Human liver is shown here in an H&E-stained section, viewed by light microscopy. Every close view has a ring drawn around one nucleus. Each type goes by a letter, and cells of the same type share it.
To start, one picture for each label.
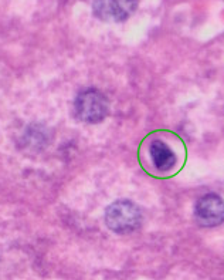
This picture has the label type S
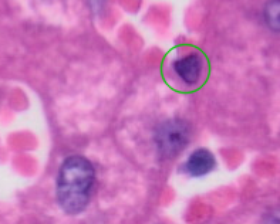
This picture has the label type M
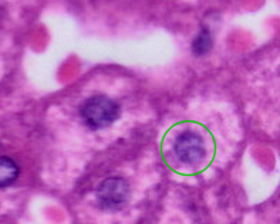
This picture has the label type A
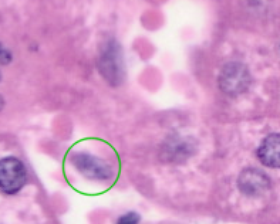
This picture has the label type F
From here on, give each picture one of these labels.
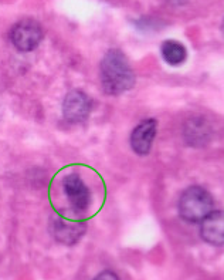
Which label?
type M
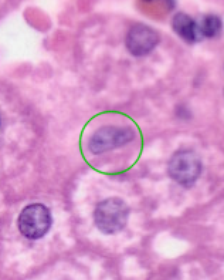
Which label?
type F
